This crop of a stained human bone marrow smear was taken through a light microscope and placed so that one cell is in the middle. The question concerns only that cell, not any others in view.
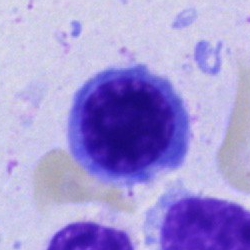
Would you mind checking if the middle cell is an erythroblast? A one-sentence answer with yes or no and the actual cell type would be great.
Yes, in the centre of this field sits an erythroblast.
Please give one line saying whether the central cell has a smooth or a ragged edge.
Expected answer: a smooth cell outline without projections of any sort.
